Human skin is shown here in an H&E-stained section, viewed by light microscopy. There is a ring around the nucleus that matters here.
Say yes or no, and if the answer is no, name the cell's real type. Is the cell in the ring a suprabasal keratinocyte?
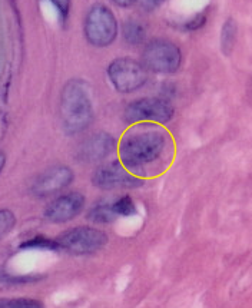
No, it is a basal keratinocyte.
